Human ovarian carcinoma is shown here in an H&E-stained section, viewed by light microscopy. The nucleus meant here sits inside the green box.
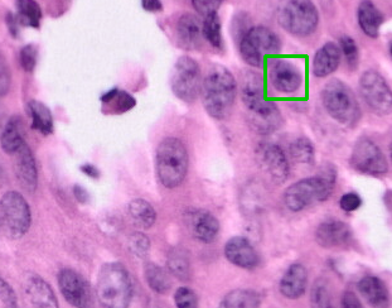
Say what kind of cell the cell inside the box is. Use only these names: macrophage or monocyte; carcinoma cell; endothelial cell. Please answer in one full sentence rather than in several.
In cellular terms, the cell inside the box is a macrophage or monocyte.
